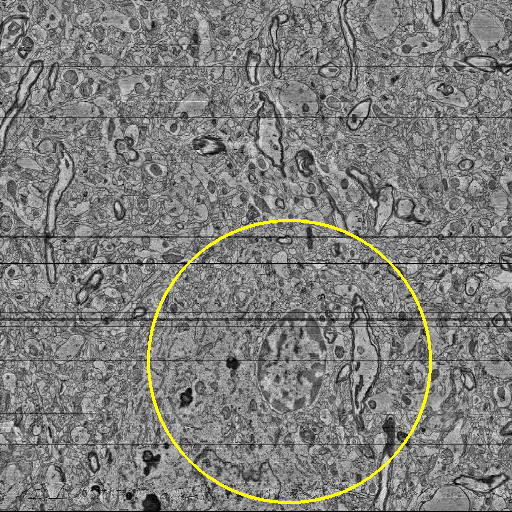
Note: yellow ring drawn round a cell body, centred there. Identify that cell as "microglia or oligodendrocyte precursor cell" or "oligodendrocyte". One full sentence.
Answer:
The cell in the middle of the ring is a microglial cell or oligodendrocyte precursor cell.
